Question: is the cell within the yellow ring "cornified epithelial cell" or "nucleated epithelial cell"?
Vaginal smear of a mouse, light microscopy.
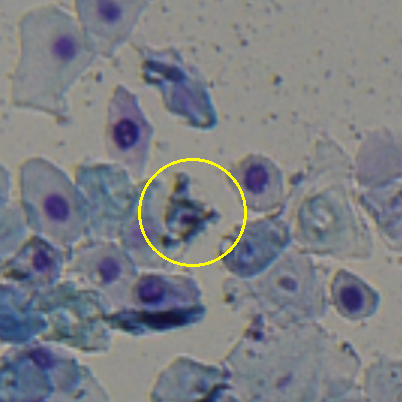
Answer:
cornified epithelial cell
